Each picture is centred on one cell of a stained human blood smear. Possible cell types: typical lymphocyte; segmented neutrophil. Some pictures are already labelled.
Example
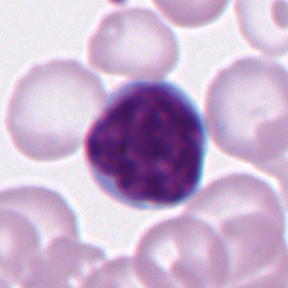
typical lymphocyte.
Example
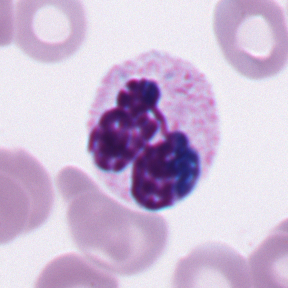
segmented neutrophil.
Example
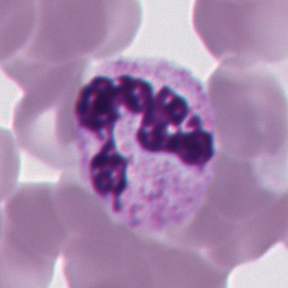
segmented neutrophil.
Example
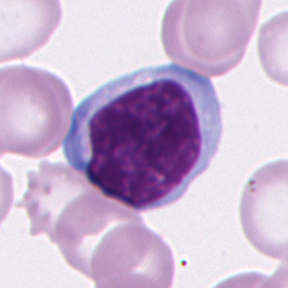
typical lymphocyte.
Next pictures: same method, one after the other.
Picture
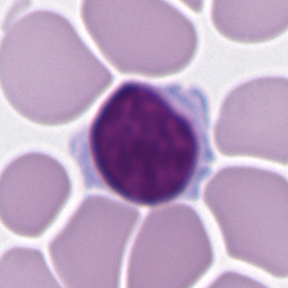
typical lymphocyte.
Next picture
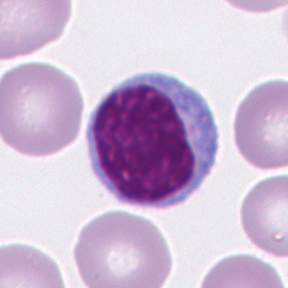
typical lymphocyte.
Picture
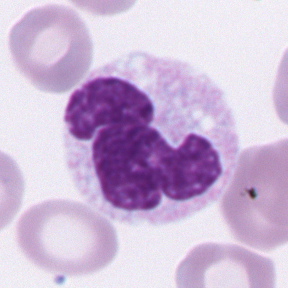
segmented neutrophil.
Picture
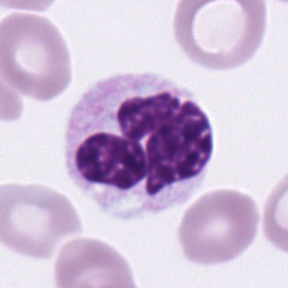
segmented neutrophil.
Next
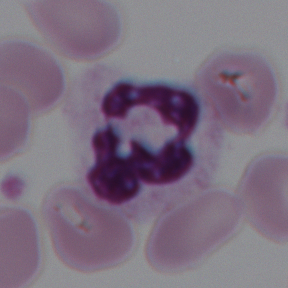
segmented neutrophil.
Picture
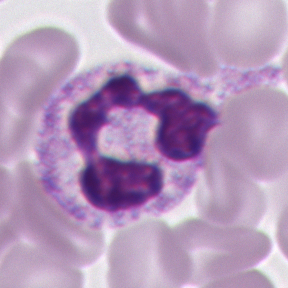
segmented neutrophil.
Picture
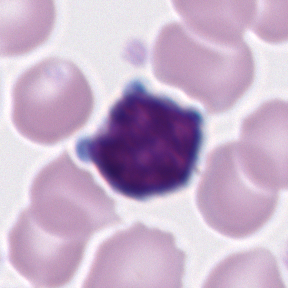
typical lymphocyte.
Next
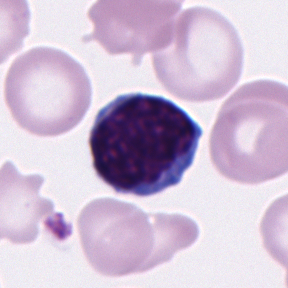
typical lymphocyte.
